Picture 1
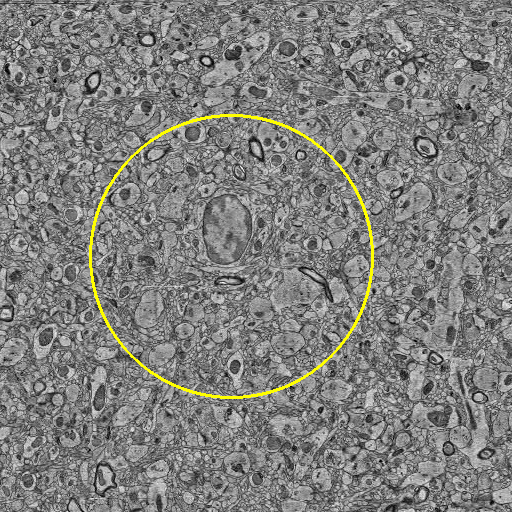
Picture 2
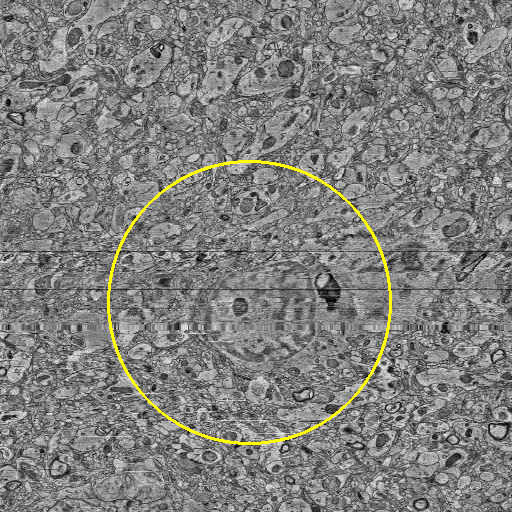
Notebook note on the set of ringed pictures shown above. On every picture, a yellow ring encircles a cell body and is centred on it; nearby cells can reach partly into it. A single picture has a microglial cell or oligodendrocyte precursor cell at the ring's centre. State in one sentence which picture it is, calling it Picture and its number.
Picture 1 is the one whose ring is centred on the sought cell.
